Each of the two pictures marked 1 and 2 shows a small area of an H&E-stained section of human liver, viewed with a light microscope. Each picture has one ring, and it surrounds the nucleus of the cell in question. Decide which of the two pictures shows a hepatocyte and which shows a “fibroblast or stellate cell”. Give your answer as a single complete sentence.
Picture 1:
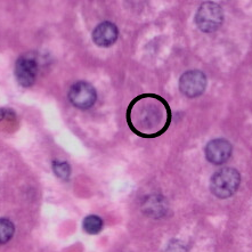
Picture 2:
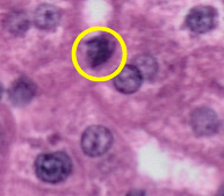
Picture 2 shows a “fibroblast or stellate cell”, while picture 1 shows a hepatocyte.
